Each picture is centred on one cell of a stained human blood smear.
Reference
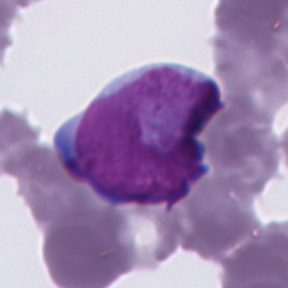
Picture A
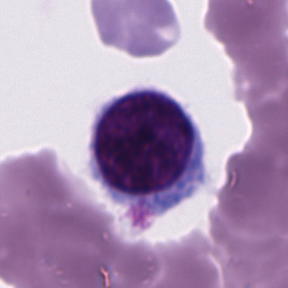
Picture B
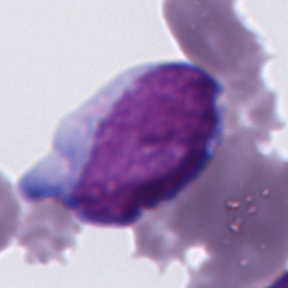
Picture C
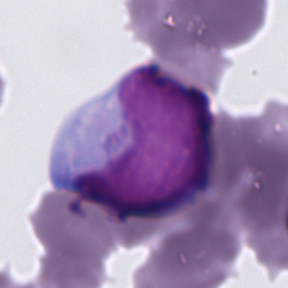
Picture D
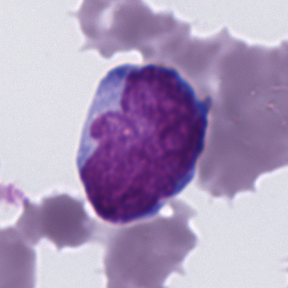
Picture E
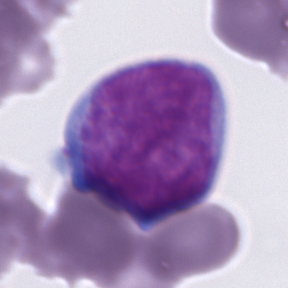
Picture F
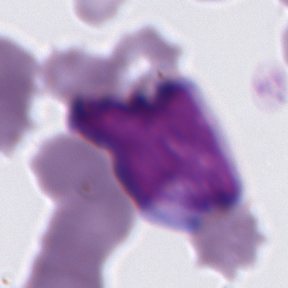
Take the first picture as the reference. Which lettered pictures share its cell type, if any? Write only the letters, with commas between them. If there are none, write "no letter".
B, C, D, E, F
